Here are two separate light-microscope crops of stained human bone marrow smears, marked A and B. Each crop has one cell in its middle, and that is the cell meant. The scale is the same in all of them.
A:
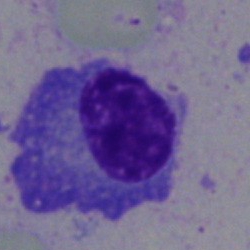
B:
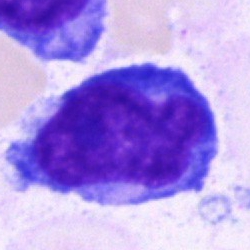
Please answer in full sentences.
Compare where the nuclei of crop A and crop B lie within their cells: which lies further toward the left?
In crop B the nucleus is shifted more toward the left.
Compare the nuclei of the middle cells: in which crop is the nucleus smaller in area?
The nucleus in crop A is smaller; the one in crop B has about 2 times its area.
